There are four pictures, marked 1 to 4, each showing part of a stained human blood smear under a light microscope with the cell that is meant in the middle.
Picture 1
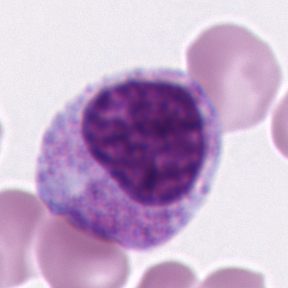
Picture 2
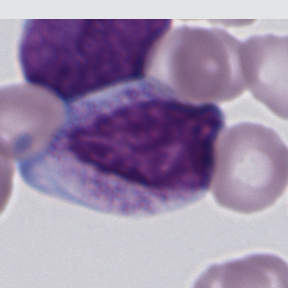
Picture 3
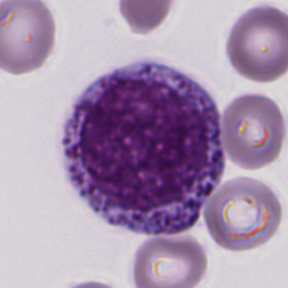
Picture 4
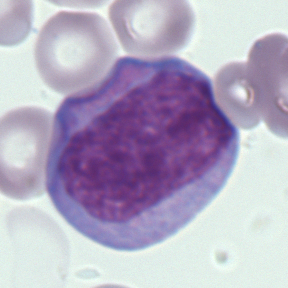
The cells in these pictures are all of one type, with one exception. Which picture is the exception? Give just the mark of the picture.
4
